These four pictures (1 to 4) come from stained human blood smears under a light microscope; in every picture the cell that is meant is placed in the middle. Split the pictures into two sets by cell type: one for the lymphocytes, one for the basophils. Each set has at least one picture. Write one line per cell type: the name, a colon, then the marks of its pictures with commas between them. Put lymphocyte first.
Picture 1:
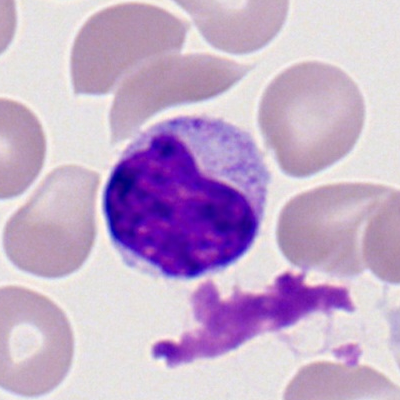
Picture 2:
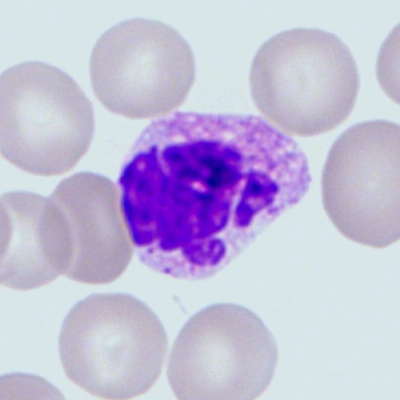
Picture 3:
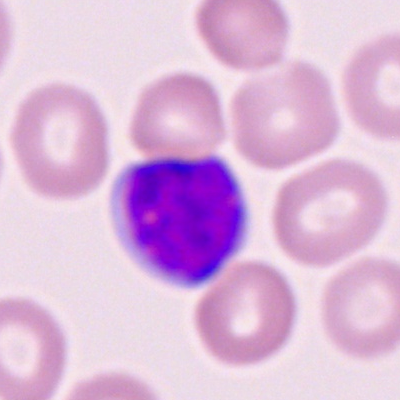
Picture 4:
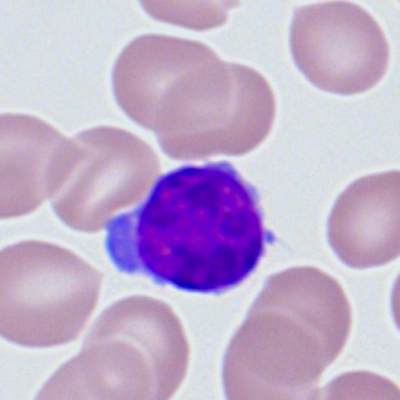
lymphocyte: 1, 3, 4
basophil: 2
